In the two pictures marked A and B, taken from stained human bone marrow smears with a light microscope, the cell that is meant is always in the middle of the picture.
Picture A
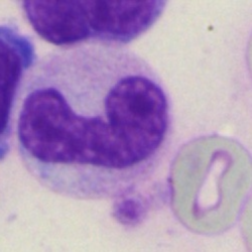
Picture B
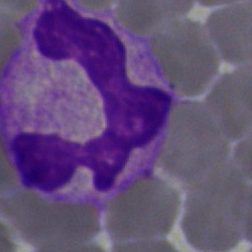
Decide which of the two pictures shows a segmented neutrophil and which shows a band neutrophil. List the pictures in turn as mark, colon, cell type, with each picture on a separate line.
A: band neutrophil
B: segmented neutrophil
